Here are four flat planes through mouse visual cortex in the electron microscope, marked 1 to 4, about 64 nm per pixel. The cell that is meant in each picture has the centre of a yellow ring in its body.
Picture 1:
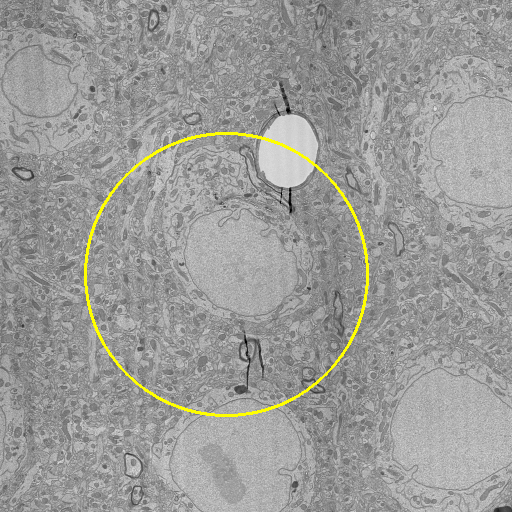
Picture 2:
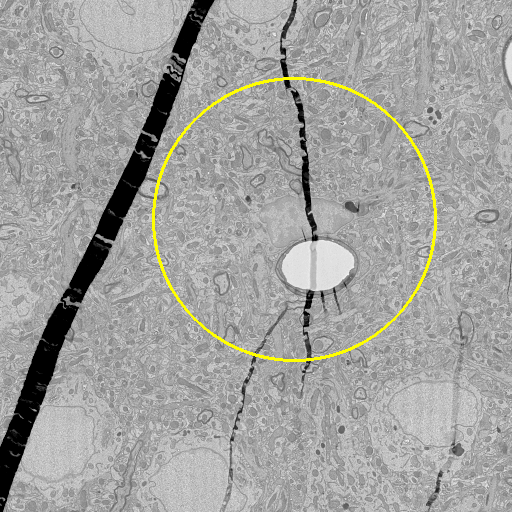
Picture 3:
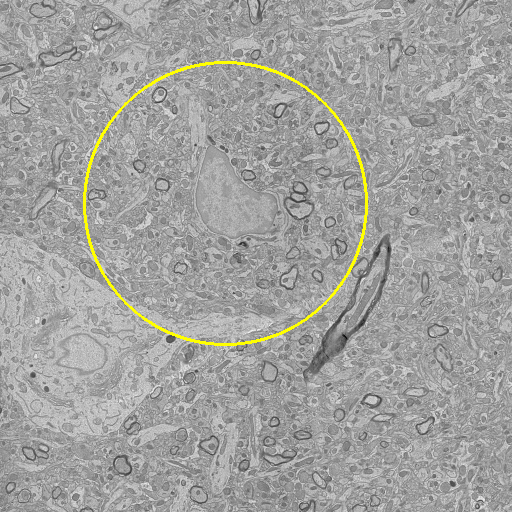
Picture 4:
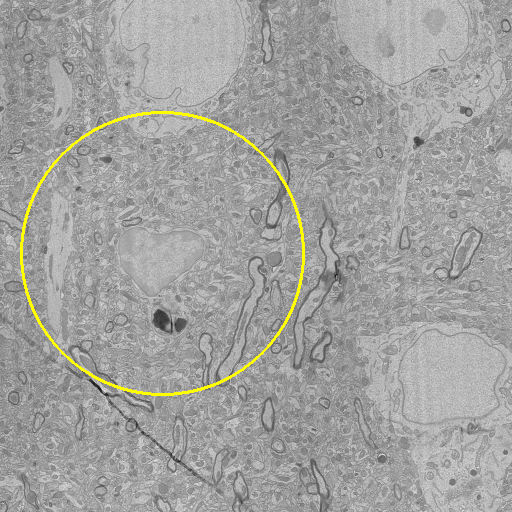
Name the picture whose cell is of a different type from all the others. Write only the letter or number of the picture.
1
